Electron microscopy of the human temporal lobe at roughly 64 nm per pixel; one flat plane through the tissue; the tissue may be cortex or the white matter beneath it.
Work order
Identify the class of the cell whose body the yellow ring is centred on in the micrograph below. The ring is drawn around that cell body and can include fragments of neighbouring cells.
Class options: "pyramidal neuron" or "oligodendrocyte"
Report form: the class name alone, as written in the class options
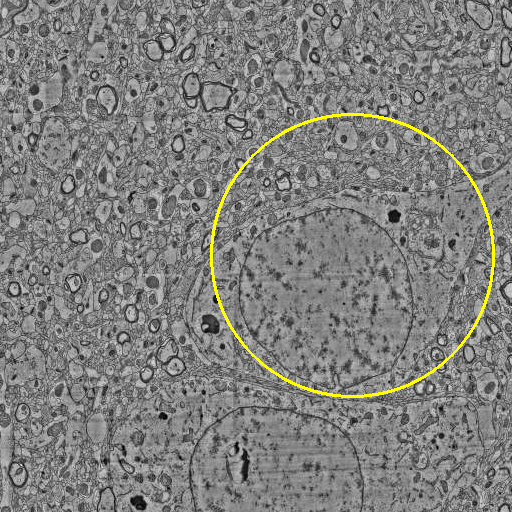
pyramidal neuron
